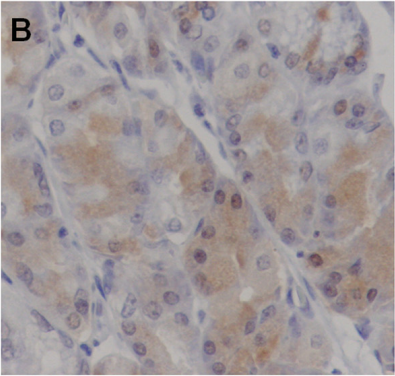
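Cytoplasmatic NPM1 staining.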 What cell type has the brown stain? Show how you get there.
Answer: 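Granular brown staining fills the cytoplasm of these cells. That points to this answer: parietal cells.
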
